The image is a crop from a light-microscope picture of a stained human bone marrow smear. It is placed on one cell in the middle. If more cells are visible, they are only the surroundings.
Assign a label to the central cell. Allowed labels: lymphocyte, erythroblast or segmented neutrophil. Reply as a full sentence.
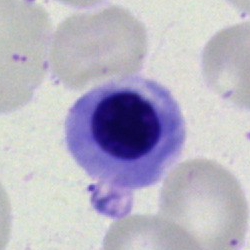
The cell occupying the middle of the crop is an erythroblast.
